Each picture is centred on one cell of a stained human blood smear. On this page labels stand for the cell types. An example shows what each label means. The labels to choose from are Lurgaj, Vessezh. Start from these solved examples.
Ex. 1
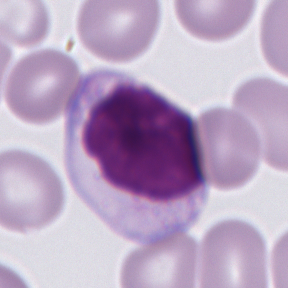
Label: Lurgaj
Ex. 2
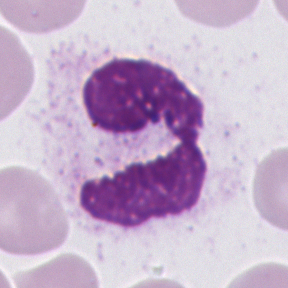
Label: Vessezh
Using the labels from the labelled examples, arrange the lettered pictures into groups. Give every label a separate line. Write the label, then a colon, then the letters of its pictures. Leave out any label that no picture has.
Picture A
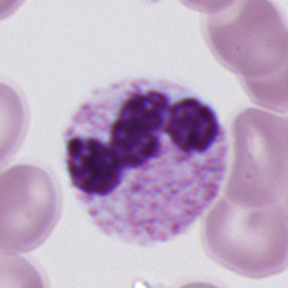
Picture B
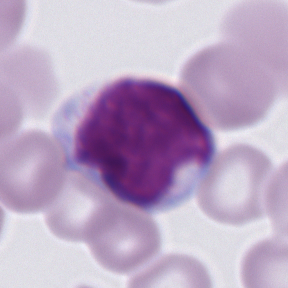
Lurgaj: B
Vessezh: A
